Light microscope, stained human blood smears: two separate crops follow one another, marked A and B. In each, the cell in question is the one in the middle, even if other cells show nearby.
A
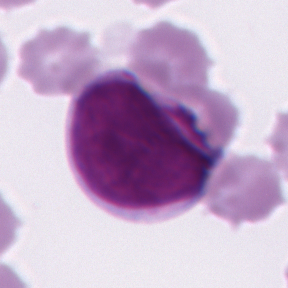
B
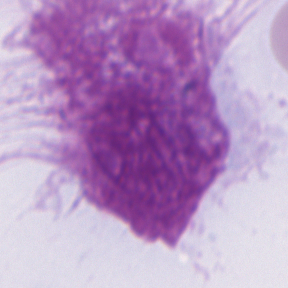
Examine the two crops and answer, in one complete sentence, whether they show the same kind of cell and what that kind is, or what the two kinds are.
No, look again: crop A shows a myeloblast, and crop B shows a smudge cell.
